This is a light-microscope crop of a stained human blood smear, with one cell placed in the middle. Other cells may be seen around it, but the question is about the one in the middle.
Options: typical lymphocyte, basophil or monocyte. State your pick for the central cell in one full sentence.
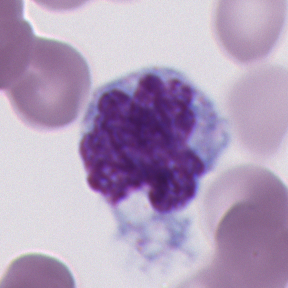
At the center of the crop sits a monocyte.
